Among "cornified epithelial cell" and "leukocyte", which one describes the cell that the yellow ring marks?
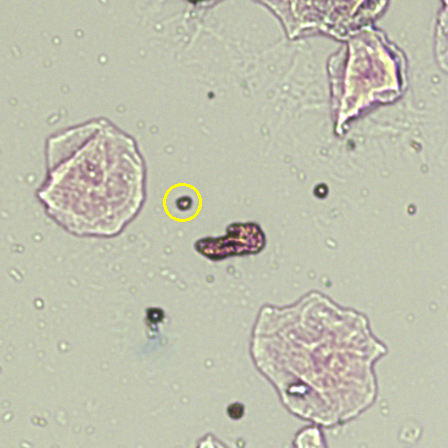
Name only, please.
leukocyte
